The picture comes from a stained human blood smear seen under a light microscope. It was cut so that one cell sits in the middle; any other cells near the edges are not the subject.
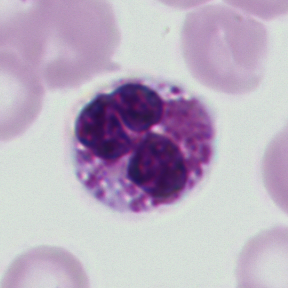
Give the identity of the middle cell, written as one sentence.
Centred in the crop is an eosinophil.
